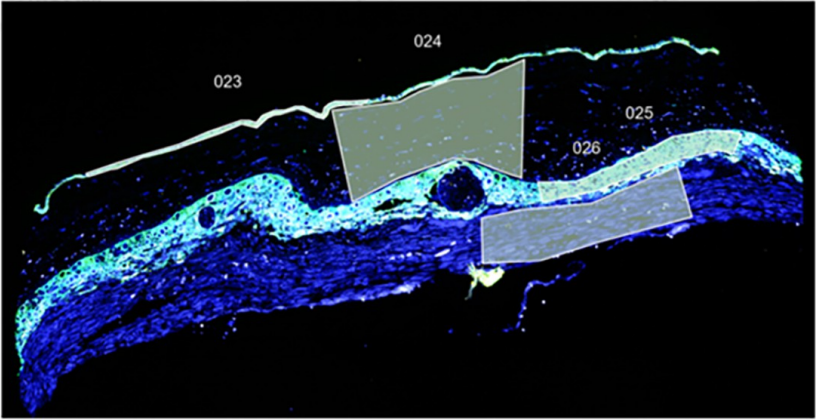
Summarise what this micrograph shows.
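A thick, bright green band of chorion trophoblast cells with closely set nuclei runs across the middle and contains a few rounded hollow profiles. The lowest layer is the decidua, crowded with blue nuclei and showing little green.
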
